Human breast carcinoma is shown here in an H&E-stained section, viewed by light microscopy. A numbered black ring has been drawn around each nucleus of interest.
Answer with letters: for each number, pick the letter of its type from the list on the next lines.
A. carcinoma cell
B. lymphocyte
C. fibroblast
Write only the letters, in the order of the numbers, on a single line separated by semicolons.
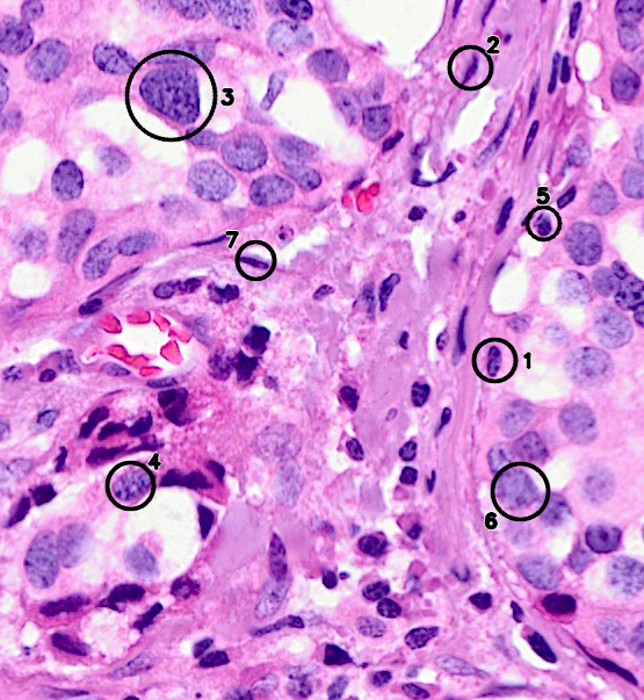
B; C; A; A; B; A; C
